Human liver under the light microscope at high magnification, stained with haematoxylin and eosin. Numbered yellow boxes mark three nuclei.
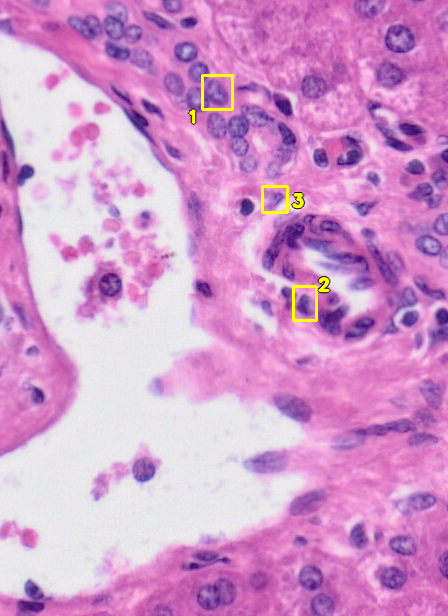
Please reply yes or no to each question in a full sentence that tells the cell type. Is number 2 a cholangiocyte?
No, that is wrong: cell 2 is a fibroblast or stellate cell, and not a cholangiocyte.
